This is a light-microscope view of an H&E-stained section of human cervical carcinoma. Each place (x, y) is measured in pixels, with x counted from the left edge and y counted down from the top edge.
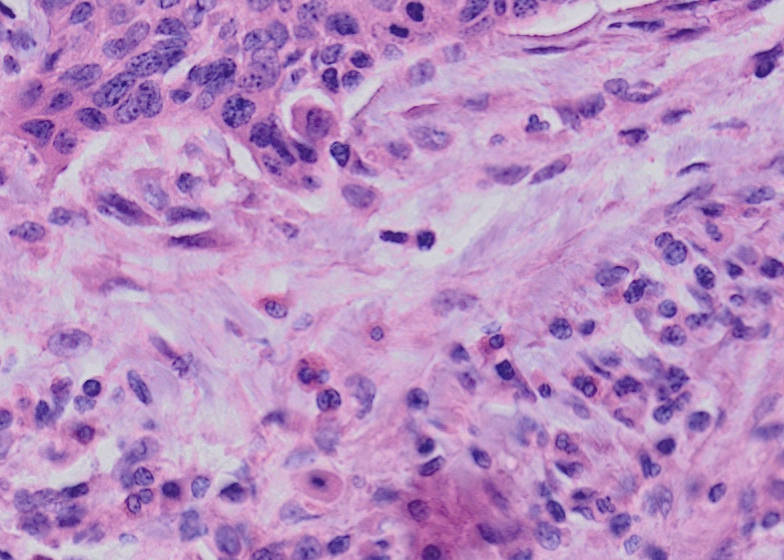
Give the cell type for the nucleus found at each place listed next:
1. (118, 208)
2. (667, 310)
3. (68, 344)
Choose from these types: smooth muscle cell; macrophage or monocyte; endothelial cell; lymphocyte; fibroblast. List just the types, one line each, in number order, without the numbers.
fibroblast
lymphocyte
fibroblast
